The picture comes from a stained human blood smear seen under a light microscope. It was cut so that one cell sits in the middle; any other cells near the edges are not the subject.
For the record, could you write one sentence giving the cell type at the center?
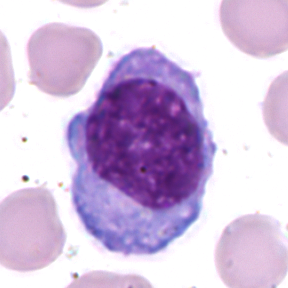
By type, the central cell of the crop is a plasma cell.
